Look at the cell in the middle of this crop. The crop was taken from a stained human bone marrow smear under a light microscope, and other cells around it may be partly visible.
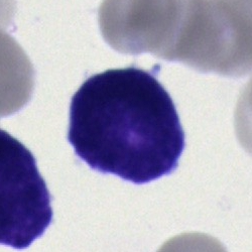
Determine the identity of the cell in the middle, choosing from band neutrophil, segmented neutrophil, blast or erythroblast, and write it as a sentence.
At the middle of the frame sits a blast.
